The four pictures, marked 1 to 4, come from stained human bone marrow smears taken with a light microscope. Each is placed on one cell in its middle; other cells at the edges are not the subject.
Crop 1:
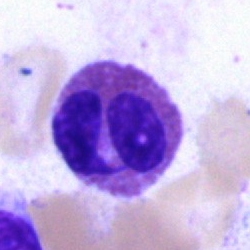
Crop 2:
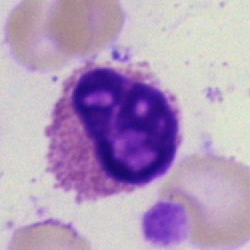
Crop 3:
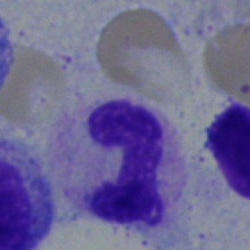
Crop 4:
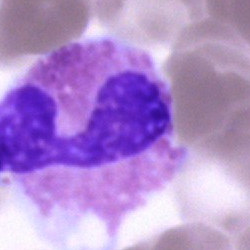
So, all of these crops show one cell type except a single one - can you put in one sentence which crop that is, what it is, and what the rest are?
Every crop but one shows eosinophils; the exception, crop 3, shows a band neutrophil.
